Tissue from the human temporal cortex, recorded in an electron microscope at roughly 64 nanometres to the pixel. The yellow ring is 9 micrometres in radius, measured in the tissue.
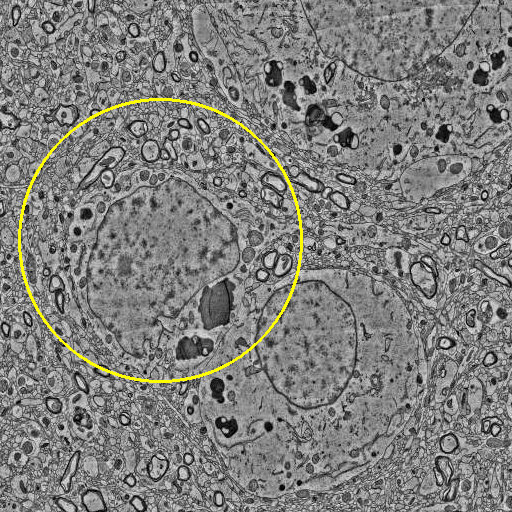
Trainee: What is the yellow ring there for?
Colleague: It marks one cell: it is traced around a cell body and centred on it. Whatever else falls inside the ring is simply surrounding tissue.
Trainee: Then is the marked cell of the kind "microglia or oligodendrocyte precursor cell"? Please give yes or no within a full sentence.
No, the marked cell at the centre of the yellow ring is of a different kind.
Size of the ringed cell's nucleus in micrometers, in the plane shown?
In this plane, approximately 11 by 9 micrometers.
